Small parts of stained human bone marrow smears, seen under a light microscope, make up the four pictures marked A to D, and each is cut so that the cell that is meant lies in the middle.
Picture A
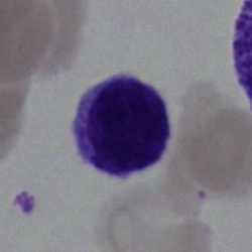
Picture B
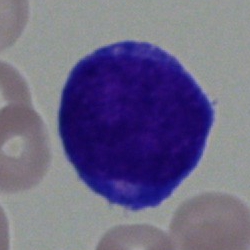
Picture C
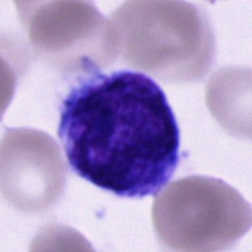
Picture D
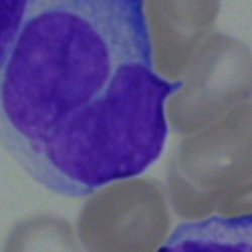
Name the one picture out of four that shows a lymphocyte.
A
